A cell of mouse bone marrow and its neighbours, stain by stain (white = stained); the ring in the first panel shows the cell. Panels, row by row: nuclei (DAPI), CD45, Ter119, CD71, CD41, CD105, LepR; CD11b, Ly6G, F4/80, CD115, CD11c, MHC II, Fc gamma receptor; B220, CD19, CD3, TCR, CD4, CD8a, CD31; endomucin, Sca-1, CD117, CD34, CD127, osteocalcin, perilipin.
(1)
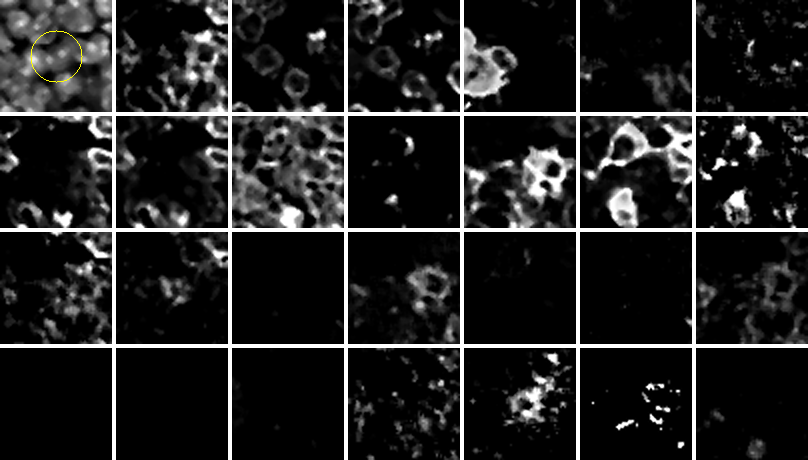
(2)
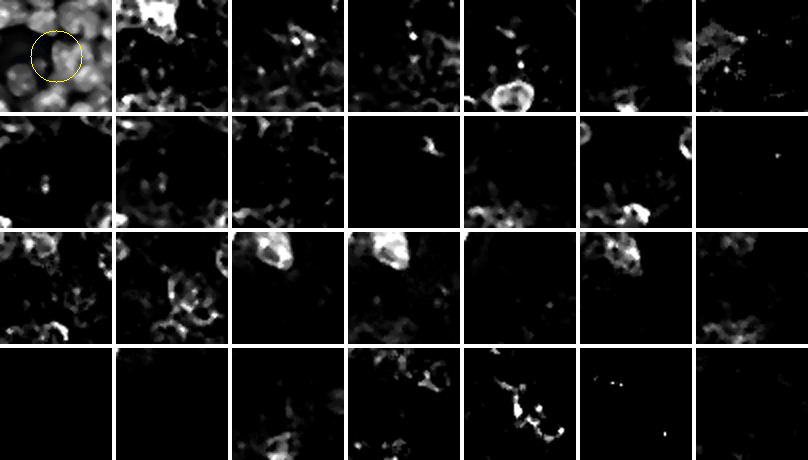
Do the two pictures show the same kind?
No: a B cell, then a common lymphoid progenitor.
